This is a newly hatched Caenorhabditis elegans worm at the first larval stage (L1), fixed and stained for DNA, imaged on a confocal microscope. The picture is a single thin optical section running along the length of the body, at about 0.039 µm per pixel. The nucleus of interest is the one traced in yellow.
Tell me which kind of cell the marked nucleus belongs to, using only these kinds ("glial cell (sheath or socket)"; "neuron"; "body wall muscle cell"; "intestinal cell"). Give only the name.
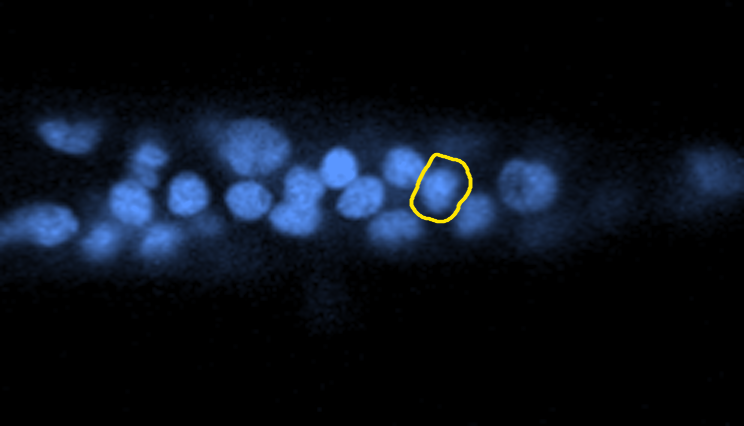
glial cell (sheath or socket)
